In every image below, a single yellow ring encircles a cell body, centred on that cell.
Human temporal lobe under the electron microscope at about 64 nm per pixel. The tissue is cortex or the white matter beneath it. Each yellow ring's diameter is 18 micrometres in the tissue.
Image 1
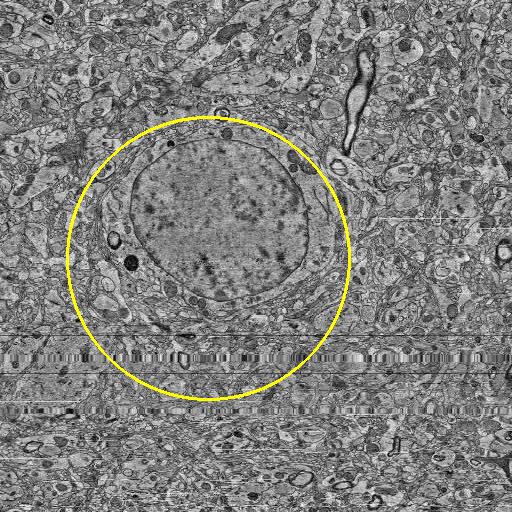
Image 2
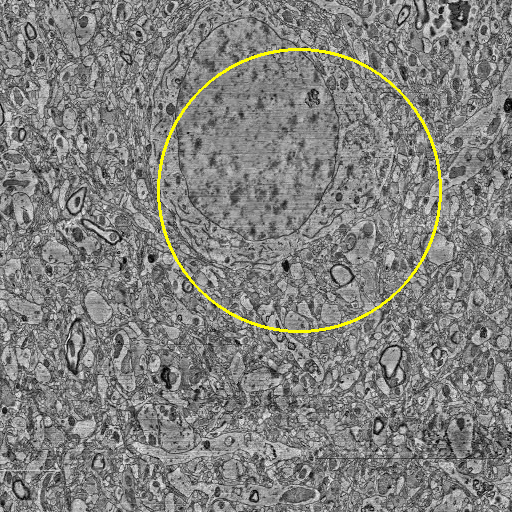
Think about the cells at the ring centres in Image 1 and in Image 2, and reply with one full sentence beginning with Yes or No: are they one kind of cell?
Yes, the cells centred in the rings of Image 1 and Image 2 are one kind of cell.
